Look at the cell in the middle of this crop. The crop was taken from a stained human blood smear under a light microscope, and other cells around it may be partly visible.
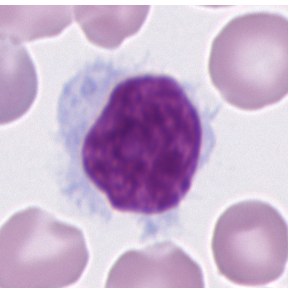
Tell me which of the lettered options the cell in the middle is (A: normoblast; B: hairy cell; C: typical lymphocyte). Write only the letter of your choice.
B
